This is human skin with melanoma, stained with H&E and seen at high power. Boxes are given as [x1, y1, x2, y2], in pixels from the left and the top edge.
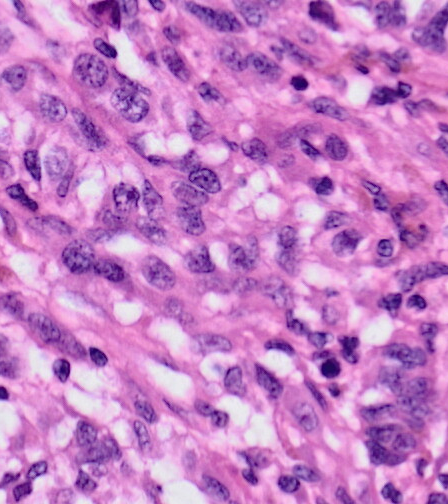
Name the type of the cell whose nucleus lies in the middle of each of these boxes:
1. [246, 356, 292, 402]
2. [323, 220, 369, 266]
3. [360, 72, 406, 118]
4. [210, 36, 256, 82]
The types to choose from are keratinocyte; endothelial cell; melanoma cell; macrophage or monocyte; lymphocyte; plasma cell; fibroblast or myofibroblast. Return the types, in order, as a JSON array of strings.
["melanoma cell", "melanoma cell", "plasma cell", "melanoma cell"]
